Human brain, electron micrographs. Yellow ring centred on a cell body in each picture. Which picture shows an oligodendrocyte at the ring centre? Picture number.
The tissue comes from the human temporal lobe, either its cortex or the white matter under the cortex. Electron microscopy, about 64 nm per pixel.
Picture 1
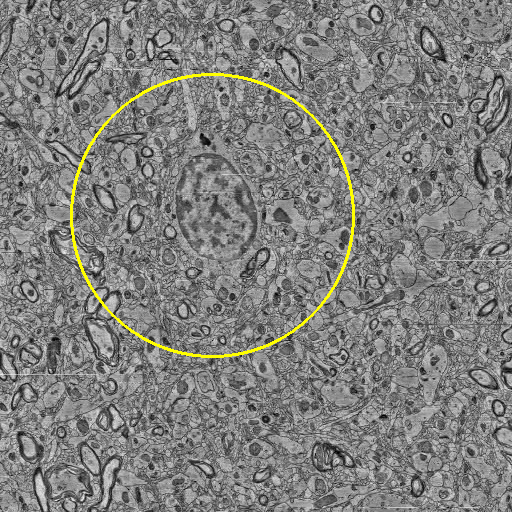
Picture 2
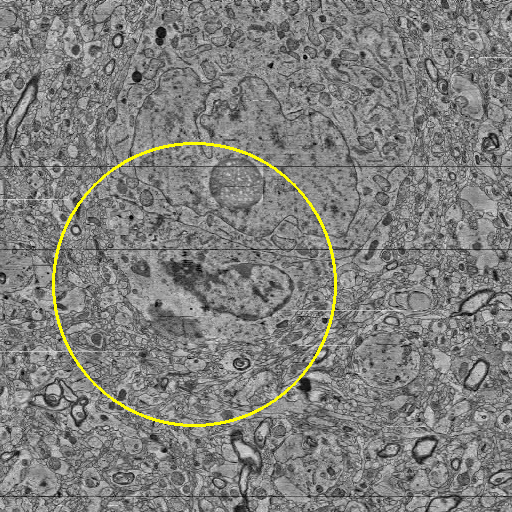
1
